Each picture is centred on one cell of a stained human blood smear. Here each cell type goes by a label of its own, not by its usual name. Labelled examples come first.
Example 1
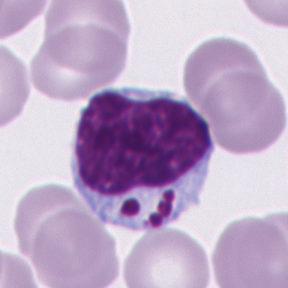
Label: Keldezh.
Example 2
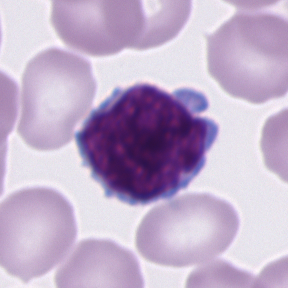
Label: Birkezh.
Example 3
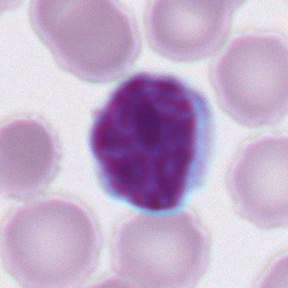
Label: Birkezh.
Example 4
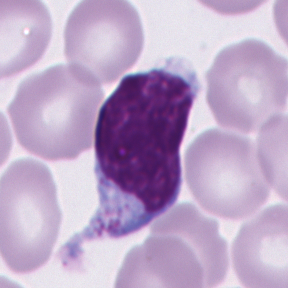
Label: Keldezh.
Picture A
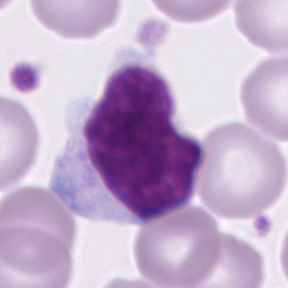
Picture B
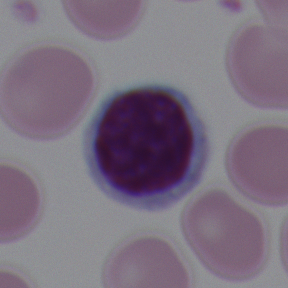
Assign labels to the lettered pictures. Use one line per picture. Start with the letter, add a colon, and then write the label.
A: Keldezh.
B: Birkezh.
